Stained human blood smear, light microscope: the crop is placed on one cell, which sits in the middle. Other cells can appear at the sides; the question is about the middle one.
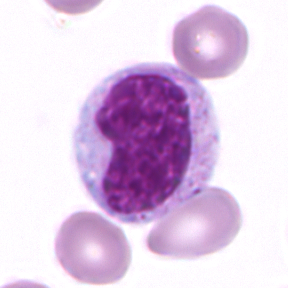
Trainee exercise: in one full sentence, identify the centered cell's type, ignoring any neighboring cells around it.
The cell that lies at the centre of the crop is a metamyelocyte.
